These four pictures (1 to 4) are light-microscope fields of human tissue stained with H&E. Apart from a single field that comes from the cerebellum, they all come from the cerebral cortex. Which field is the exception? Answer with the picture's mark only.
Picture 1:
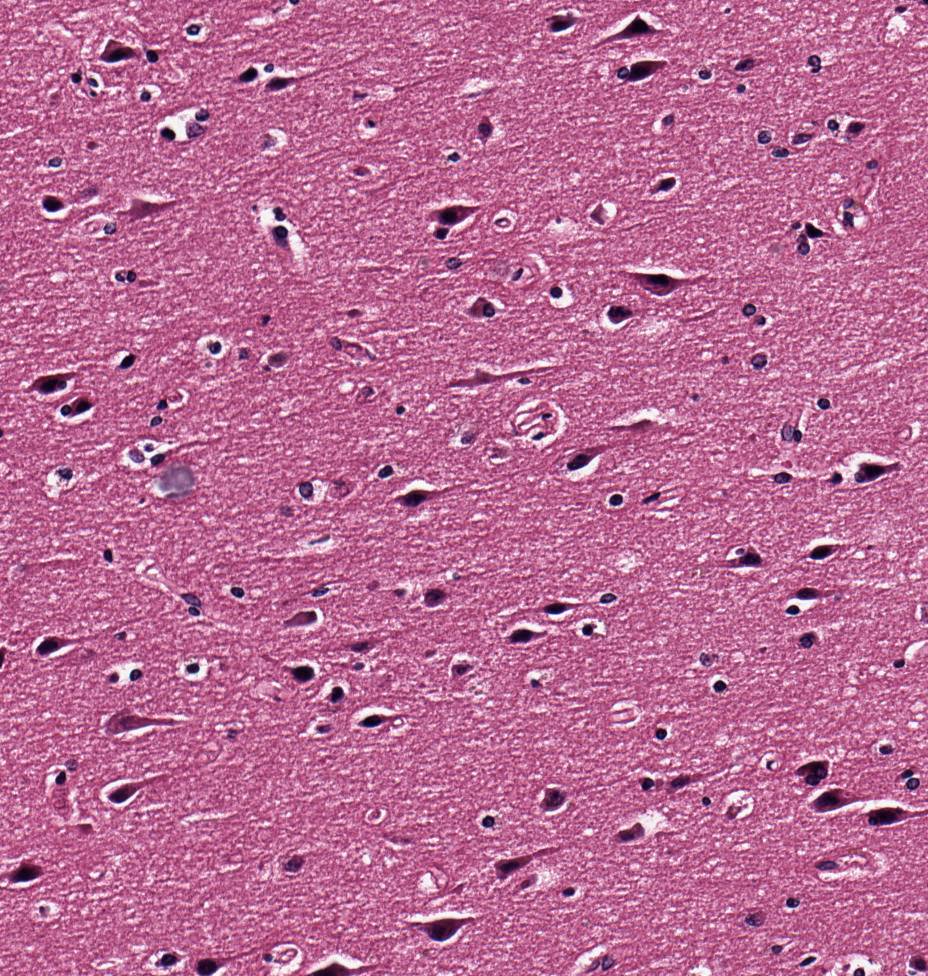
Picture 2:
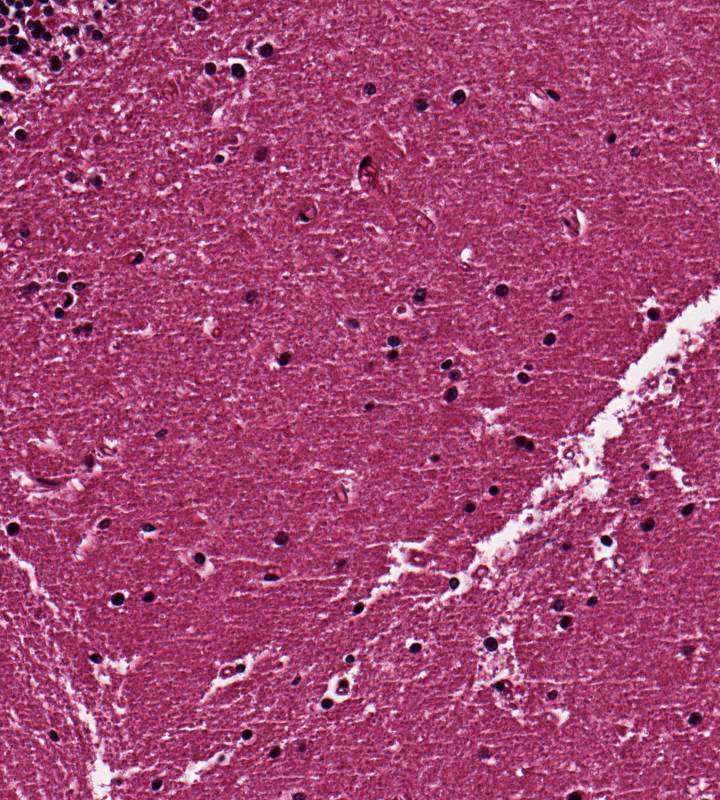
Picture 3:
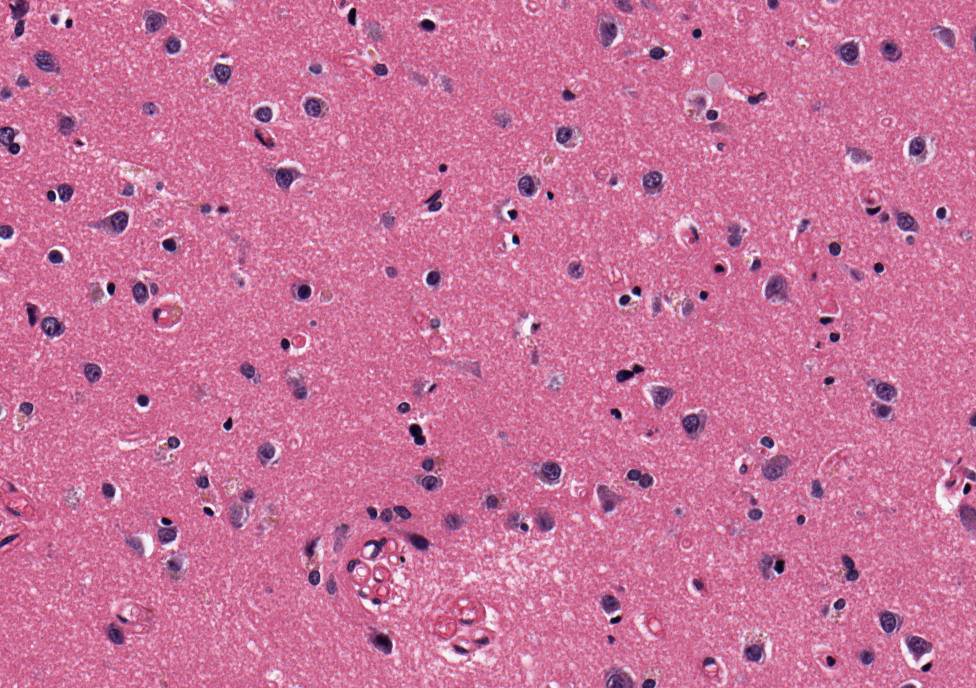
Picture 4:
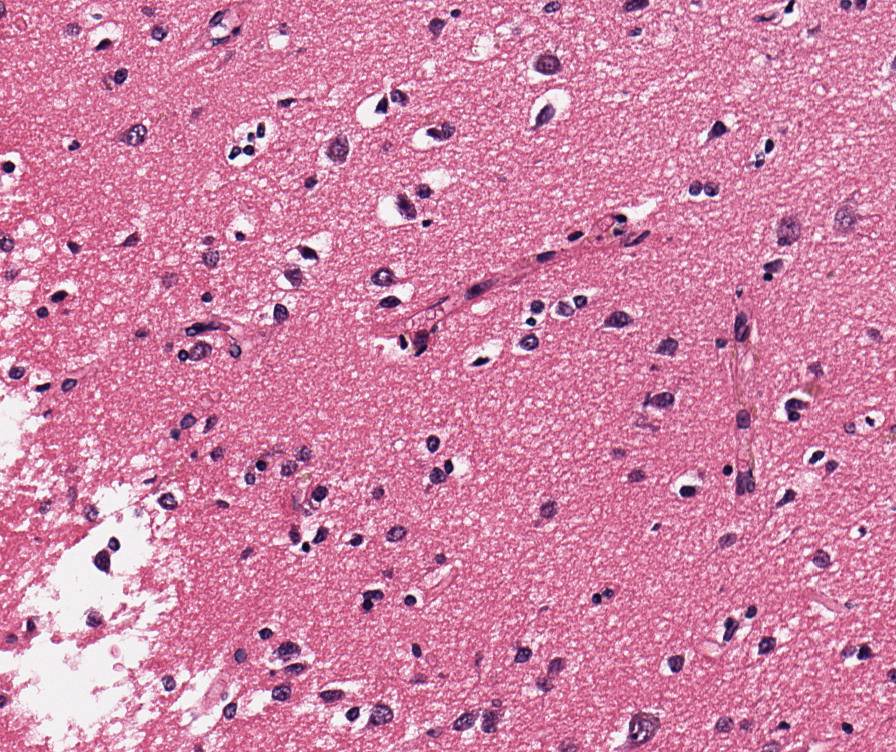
2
